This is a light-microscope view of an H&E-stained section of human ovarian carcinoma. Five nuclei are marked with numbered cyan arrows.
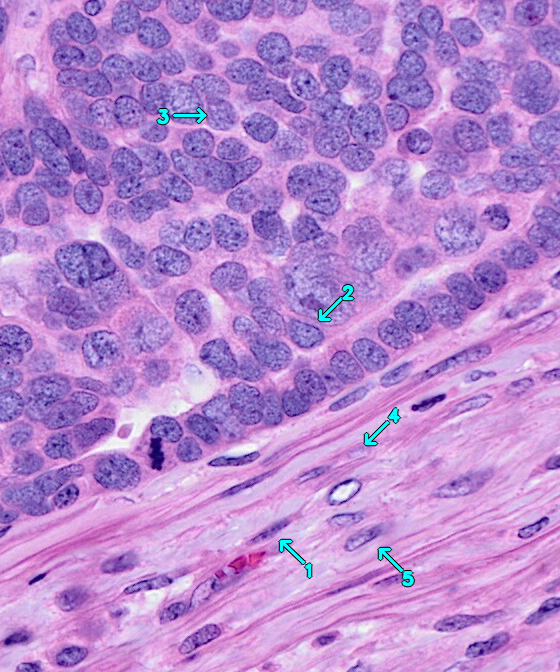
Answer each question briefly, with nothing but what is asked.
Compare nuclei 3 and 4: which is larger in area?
3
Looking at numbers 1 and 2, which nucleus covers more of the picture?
2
